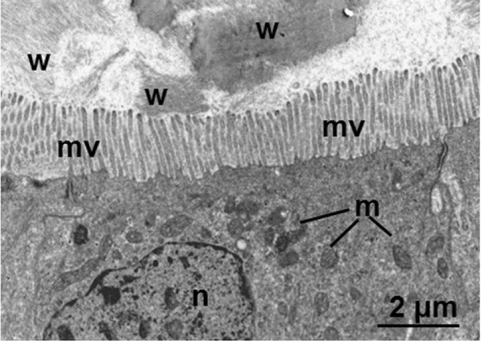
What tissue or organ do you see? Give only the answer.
epithelium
